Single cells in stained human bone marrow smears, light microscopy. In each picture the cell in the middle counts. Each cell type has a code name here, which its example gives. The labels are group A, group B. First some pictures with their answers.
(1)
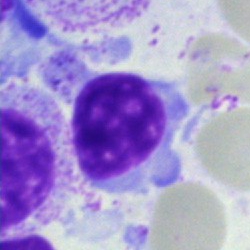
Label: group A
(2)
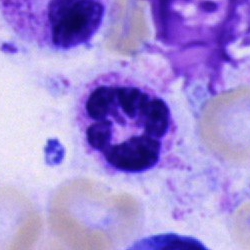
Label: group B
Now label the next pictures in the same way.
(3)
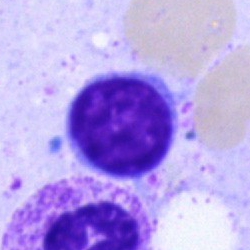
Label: group A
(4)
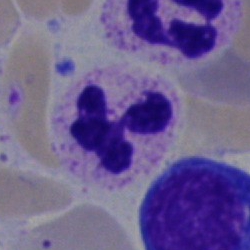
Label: group B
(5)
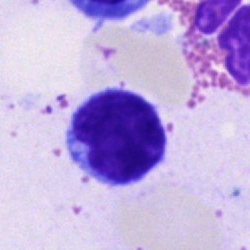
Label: group A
